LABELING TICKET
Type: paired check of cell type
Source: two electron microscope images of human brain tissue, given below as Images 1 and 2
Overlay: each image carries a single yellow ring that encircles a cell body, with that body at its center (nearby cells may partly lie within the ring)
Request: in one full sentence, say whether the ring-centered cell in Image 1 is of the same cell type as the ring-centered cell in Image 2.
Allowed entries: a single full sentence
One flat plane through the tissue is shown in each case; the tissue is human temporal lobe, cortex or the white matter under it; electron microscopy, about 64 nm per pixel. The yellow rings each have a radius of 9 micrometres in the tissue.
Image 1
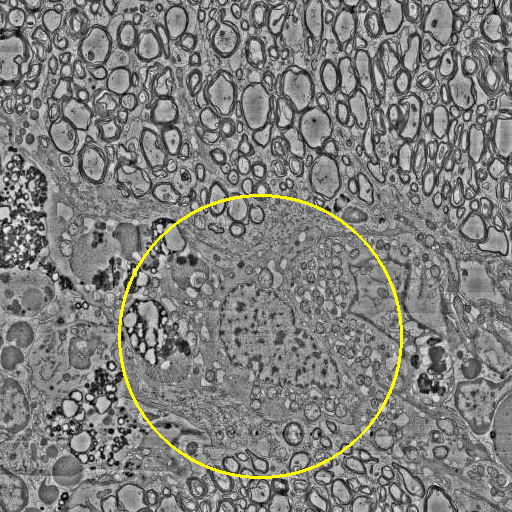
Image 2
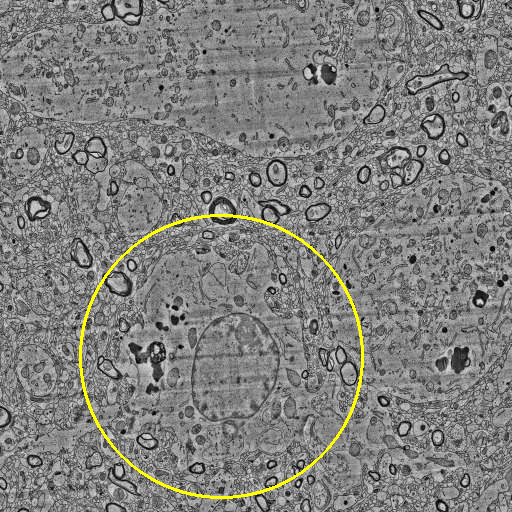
Yes, the cells centered in the rings of Image 1 and Image 2 share one type.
